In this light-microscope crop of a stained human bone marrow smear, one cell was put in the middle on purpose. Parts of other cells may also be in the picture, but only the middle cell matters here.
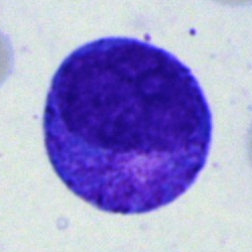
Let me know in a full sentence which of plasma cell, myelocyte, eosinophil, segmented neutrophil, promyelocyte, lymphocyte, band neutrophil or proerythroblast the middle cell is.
The centered cell in this crop is a promyelocyte.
